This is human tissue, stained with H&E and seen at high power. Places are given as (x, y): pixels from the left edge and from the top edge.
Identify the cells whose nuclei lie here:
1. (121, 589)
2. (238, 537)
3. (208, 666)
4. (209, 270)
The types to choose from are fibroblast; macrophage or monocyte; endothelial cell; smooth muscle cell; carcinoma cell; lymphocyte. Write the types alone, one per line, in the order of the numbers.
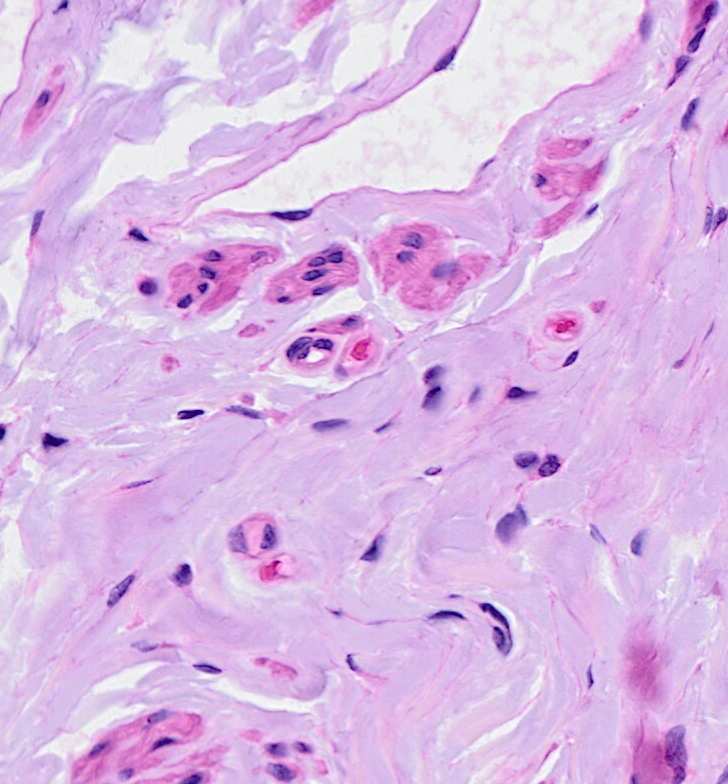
fibroblast
endothelial cell
fibroblast
smooth muscle cell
